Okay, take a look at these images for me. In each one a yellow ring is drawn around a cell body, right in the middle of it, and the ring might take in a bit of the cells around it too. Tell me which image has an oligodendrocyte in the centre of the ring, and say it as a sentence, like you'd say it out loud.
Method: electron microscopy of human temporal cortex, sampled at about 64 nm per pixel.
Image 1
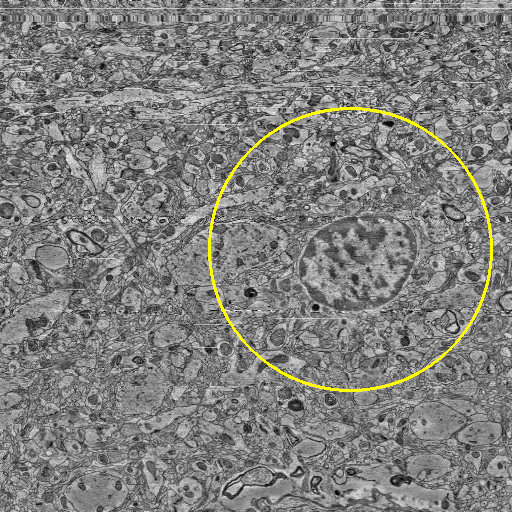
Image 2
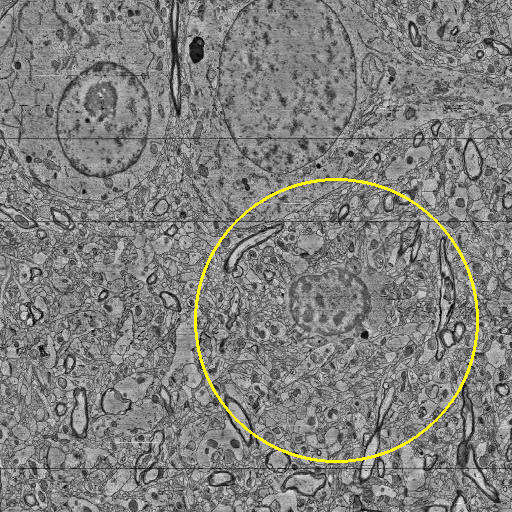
Image 2 is the one with it in the centre of the ring.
